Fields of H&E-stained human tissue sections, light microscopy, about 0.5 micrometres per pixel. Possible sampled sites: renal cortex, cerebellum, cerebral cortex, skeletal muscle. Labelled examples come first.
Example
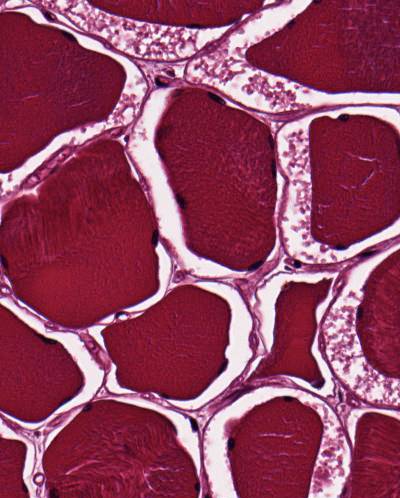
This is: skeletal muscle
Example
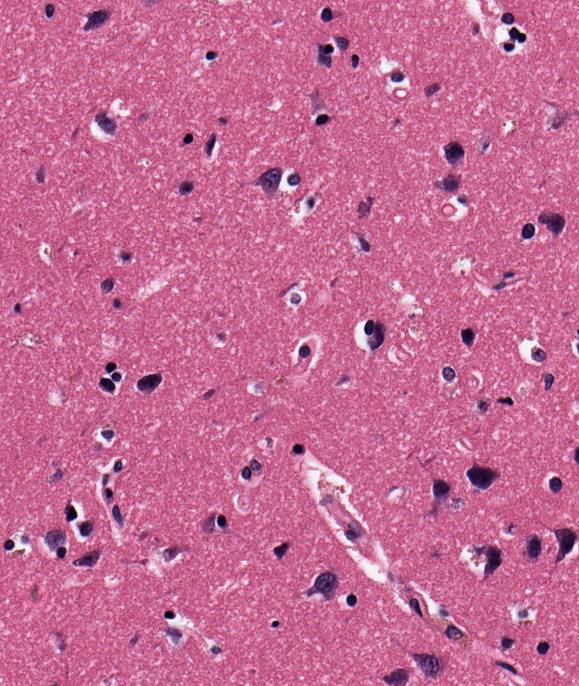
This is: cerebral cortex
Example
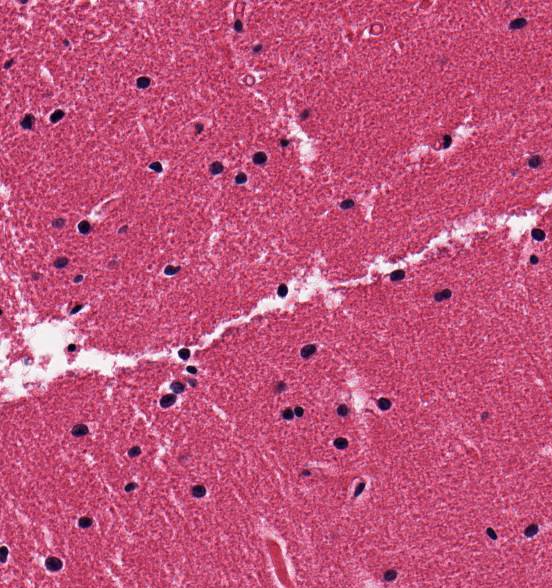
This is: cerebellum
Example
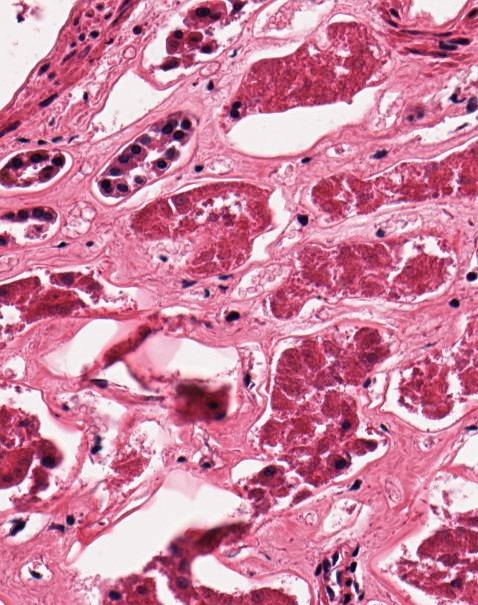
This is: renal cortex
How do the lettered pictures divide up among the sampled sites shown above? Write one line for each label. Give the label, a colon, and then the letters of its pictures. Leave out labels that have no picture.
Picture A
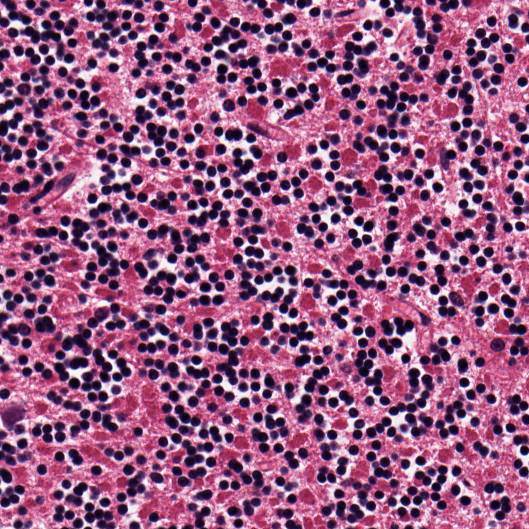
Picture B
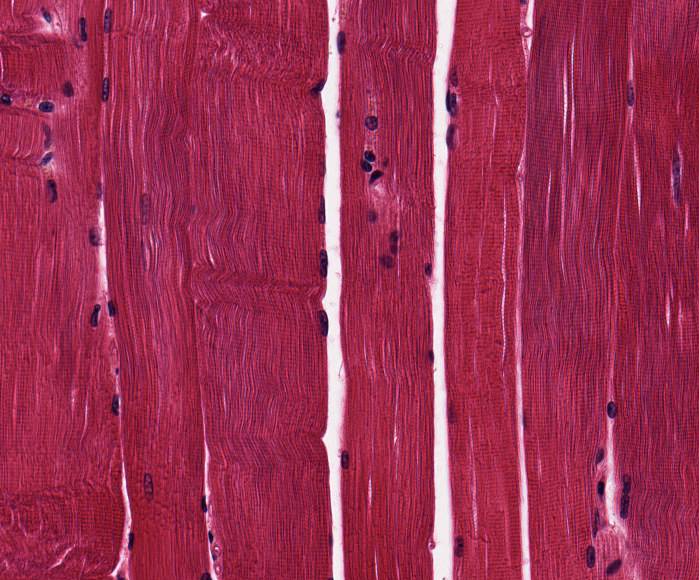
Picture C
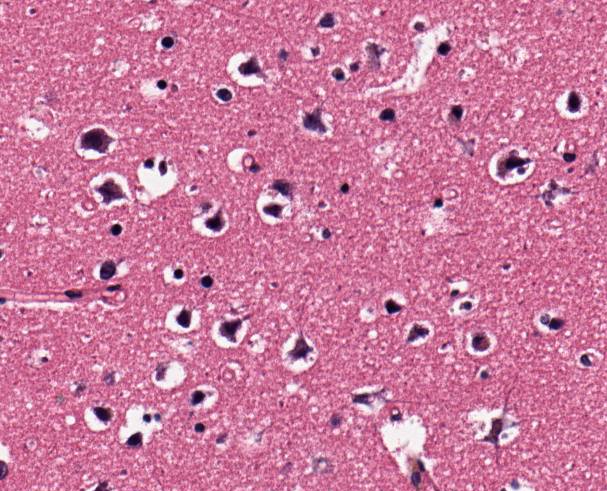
cerebellum: A
cerebral cortex: C
skeletal muscle: B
